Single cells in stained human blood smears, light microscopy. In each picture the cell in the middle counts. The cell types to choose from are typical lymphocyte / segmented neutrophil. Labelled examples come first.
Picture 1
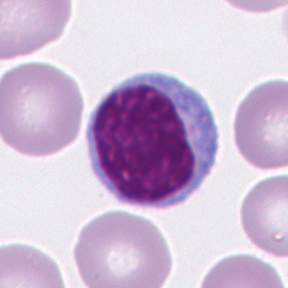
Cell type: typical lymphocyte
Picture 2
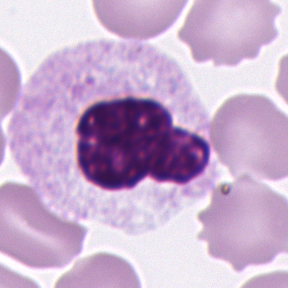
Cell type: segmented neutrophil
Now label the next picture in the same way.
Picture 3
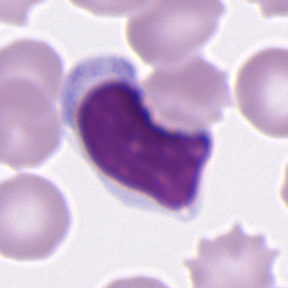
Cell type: typical lymphocyte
